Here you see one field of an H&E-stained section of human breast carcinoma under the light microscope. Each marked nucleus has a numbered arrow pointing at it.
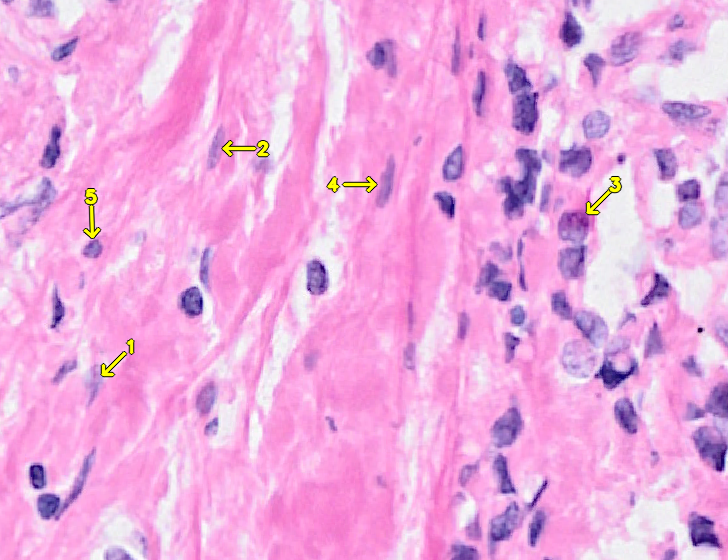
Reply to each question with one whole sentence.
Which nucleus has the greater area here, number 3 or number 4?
Nucleus 3 covers more area, about 2.5 times as much as nucleus 4.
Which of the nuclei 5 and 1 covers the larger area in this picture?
Of the two, number 1 is bigger and takes up about 1.5 times the area of number 5.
